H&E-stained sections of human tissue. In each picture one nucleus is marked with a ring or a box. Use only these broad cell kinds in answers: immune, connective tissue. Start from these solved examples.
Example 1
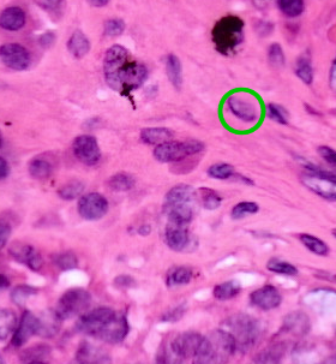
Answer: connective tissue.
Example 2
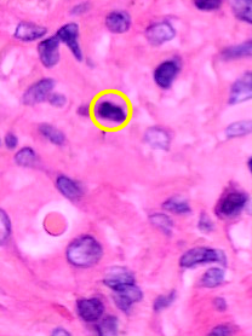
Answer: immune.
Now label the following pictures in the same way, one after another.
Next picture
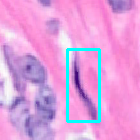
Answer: connective tissue.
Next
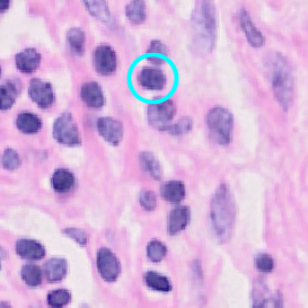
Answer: immune.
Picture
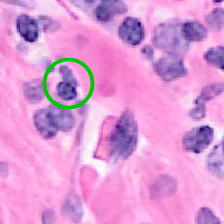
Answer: immune.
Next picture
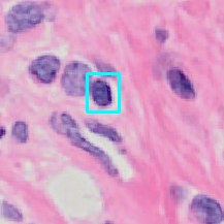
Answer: immune.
